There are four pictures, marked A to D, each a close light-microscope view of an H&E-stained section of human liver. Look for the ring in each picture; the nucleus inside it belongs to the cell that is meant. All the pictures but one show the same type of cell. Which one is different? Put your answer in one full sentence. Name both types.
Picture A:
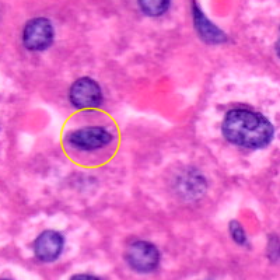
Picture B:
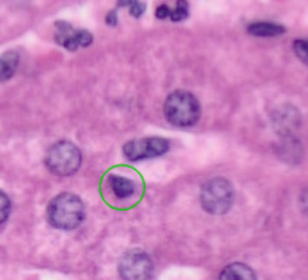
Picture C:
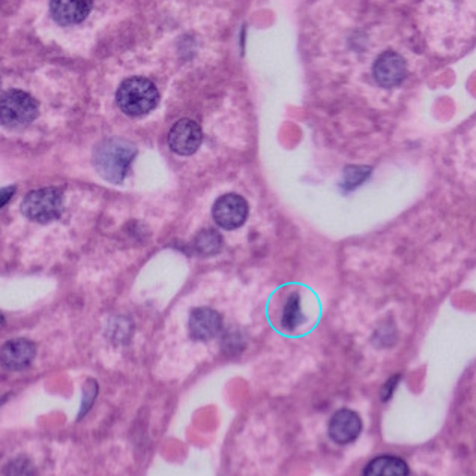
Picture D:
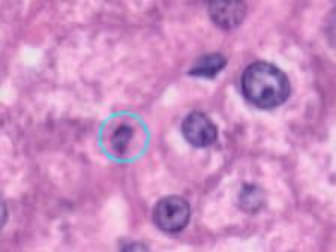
Picture C differs, because its cell is an endothelial cell and the rest are “fibroblasts or stellate cells”.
